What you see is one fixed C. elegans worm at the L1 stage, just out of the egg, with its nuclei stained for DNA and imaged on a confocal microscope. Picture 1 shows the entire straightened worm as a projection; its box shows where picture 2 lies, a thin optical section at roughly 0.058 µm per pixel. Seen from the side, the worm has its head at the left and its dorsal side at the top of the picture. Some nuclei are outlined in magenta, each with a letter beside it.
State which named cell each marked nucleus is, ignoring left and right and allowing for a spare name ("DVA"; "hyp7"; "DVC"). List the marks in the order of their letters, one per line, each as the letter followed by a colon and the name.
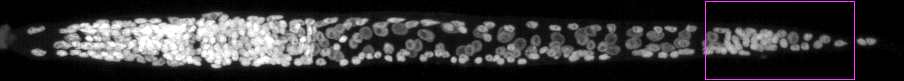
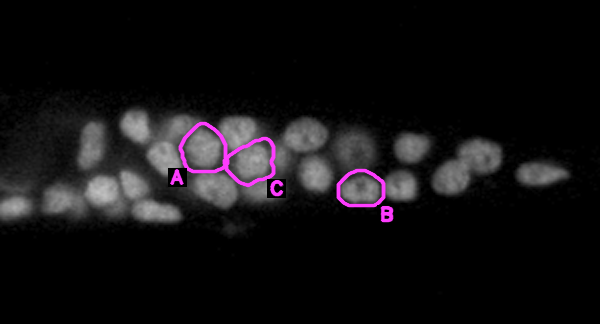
A: DVA
B: hyp7
C: DVC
